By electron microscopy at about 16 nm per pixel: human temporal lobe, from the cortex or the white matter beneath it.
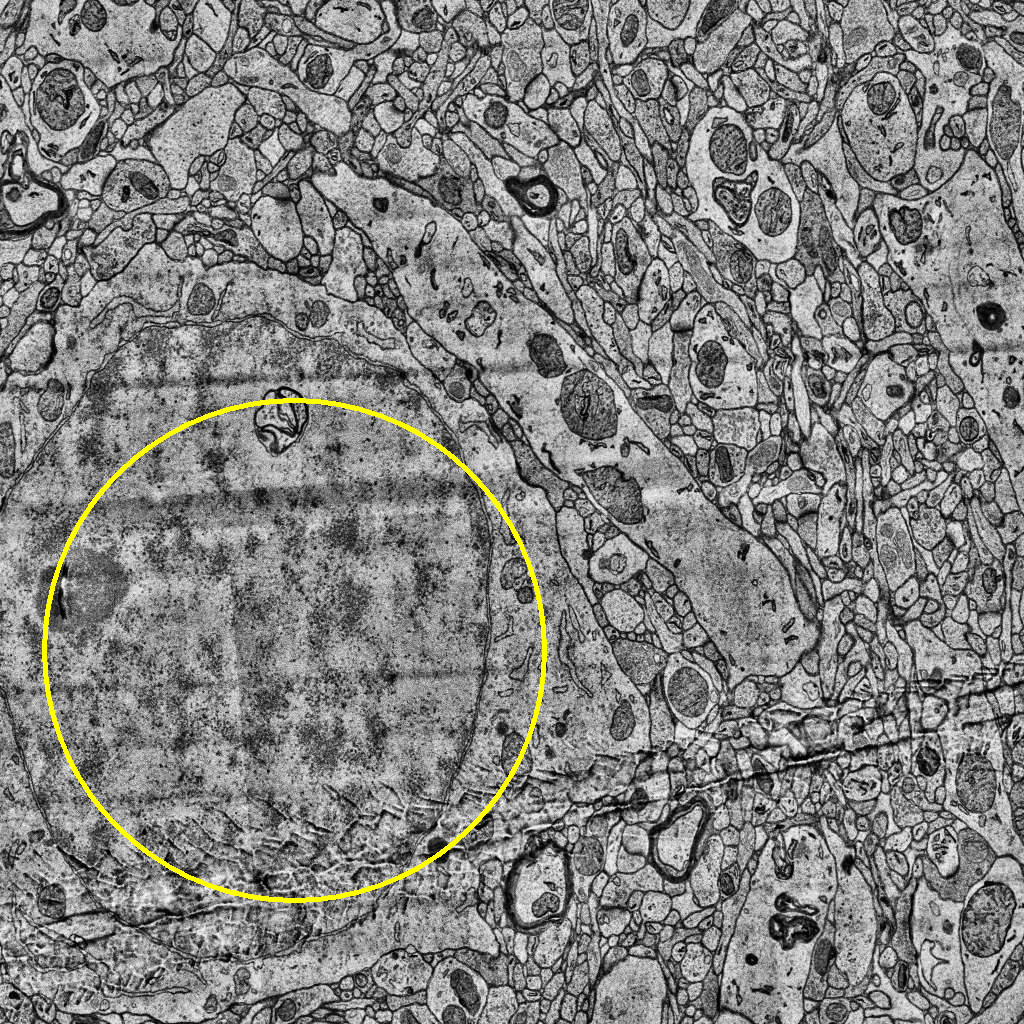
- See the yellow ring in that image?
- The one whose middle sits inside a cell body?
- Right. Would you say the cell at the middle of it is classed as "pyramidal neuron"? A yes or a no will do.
no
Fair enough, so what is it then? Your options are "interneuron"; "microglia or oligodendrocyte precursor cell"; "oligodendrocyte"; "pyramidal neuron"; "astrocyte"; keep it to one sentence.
Instead, the cell inside the ring is an interneuron.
